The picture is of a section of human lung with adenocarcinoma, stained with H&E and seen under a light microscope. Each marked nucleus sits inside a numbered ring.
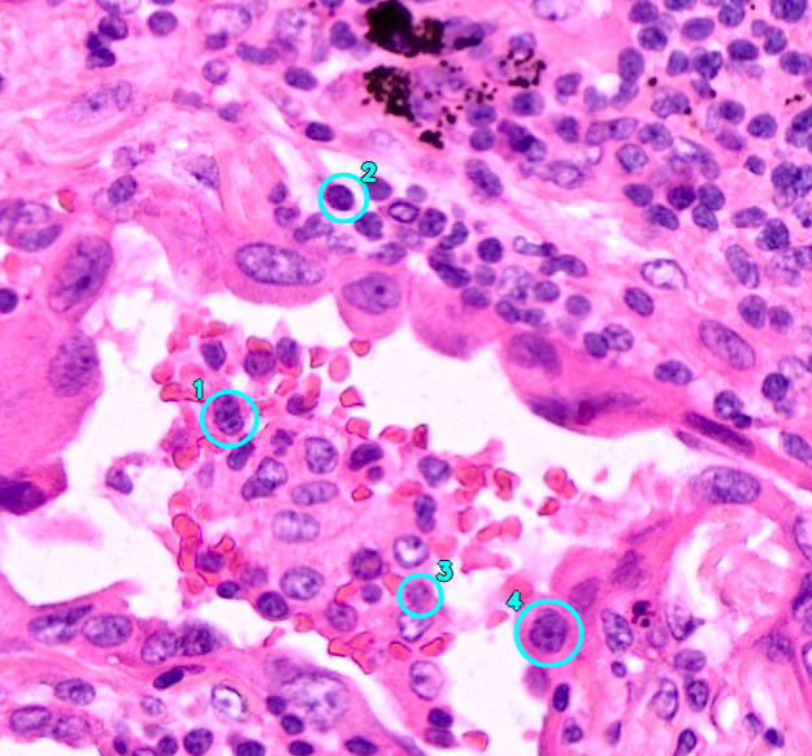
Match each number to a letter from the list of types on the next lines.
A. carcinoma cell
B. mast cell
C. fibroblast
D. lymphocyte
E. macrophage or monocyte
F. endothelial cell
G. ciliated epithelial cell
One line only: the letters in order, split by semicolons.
E; D; E; A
